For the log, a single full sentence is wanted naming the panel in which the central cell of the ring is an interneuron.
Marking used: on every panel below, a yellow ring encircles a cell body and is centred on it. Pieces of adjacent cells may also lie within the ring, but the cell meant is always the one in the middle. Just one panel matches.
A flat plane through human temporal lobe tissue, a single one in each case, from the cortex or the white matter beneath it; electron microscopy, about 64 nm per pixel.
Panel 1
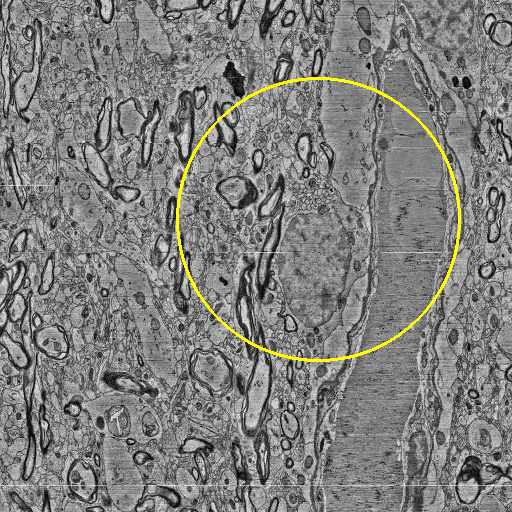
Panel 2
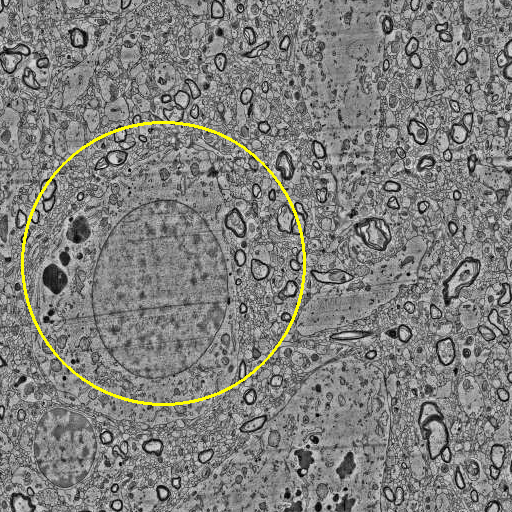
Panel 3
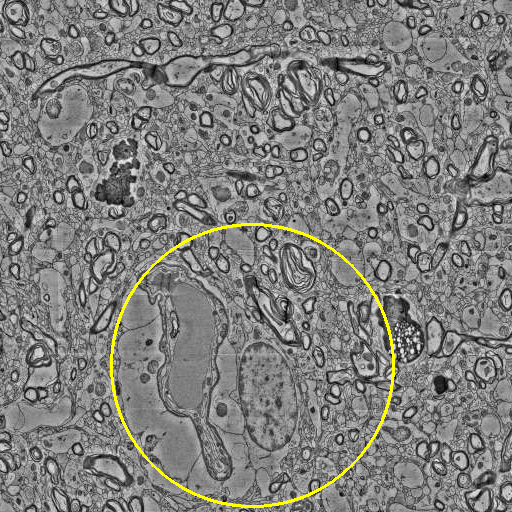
The cell in the middle of the ring in panel 2 is the one asked for.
